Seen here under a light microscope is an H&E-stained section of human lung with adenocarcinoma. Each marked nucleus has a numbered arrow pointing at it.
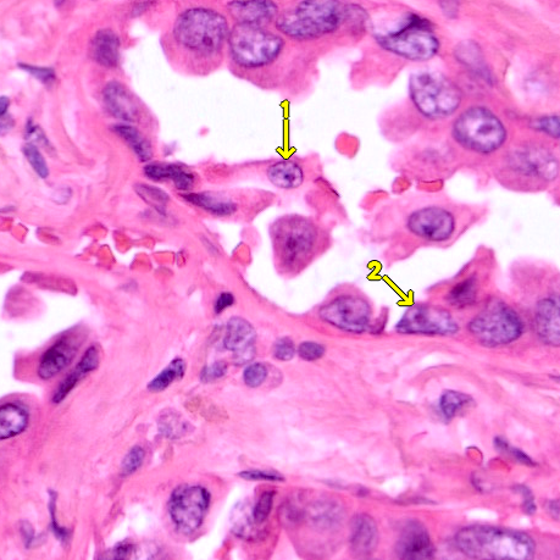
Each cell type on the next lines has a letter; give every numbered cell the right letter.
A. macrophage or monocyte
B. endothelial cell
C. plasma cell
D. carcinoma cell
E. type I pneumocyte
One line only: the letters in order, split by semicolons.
A; D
